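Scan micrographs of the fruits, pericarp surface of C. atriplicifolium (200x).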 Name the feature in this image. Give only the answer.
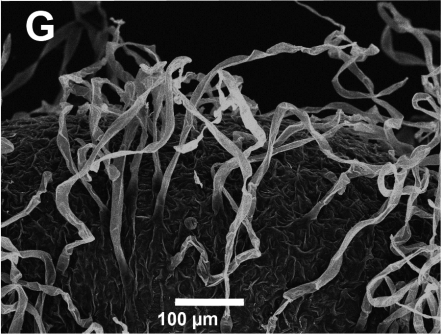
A: Simple curved hairs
